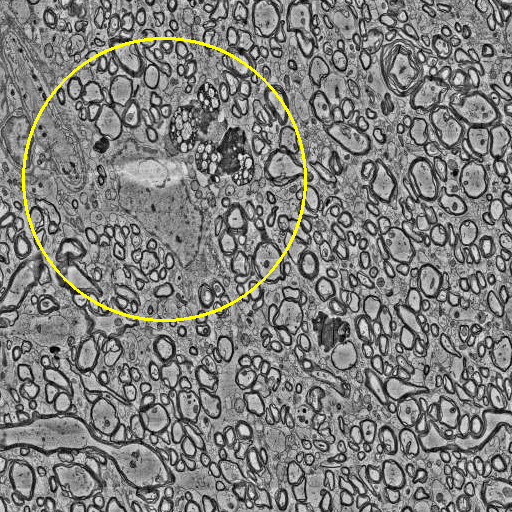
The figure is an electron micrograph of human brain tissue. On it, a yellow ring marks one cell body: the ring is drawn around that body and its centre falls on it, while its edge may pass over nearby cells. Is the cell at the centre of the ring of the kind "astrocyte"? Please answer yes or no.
yes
